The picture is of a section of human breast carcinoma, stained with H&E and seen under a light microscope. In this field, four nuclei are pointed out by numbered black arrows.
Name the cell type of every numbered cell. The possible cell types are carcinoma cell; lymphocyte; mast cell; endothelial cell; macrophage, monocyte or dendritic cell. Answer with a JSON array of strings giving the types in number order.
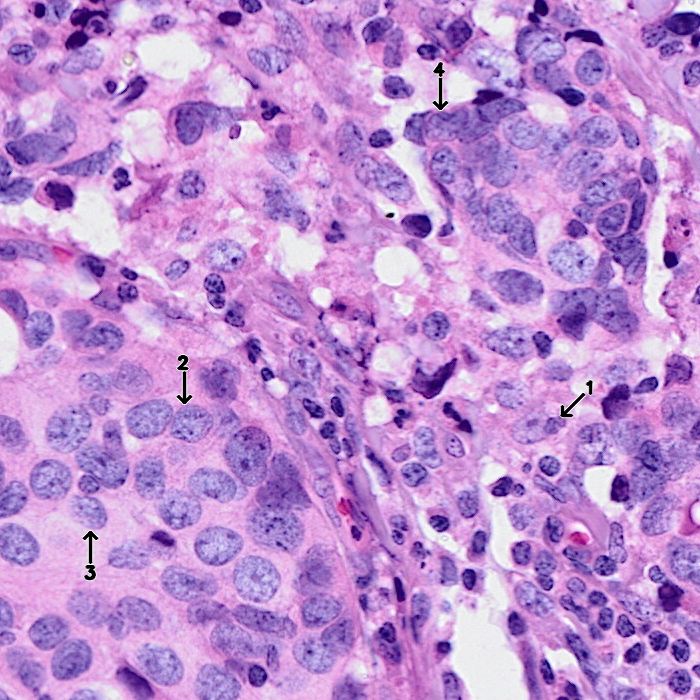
["macrophage, monocyte or dendritic cell", "carcinoma cell", "carcinoma cell", "carcinoma cell"]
